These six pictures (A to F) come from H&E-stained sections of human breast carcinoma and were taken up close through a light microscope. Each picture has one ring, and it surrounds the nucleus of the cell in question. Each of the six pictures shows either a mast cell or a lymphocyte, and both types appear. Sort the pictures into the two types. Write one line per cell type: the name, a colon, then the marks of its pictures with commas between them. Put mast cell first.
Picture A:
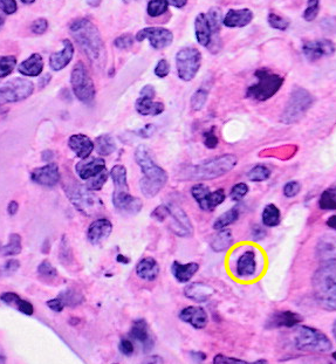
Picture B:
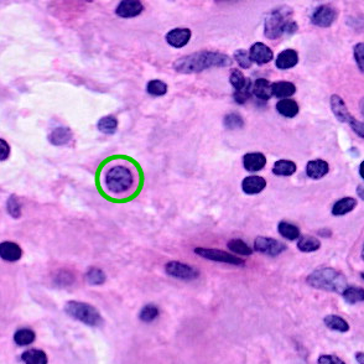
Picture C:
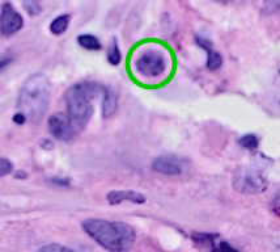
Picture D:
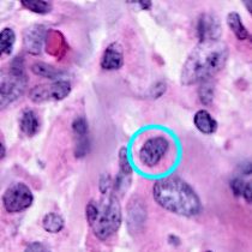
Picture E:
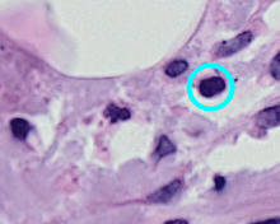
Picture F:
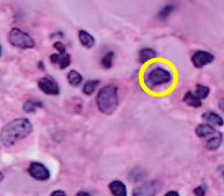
mast cell: B, C, D
lymphocyte: A, E, F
